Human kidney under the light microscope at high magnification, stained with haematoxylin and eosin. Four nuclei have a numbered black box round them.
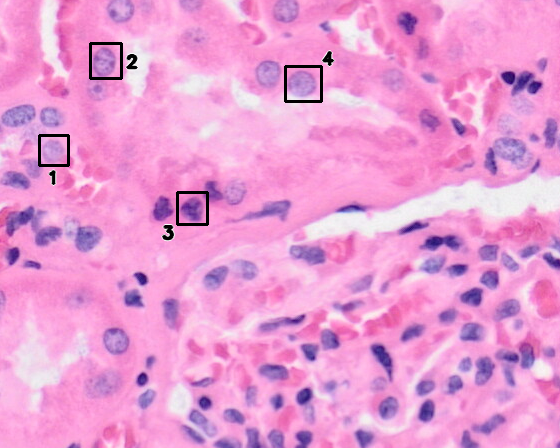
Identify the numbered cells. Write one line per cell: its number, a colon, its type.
1: collecting duct cell
2: proximal tubule cell
3: proximal tubule cell
4: proximal tubule cell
